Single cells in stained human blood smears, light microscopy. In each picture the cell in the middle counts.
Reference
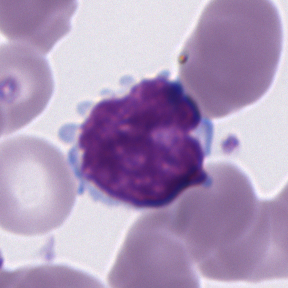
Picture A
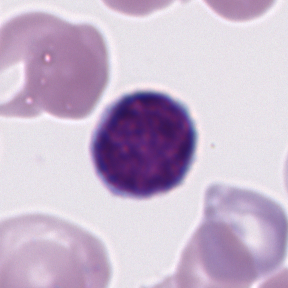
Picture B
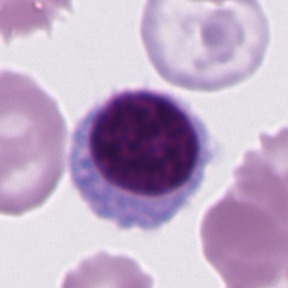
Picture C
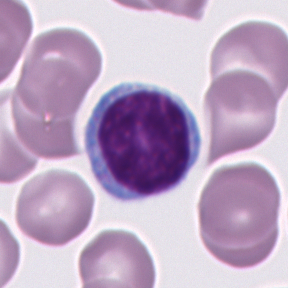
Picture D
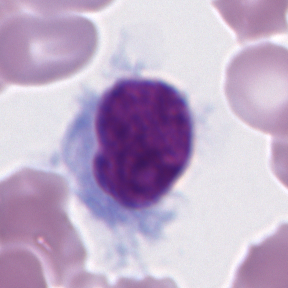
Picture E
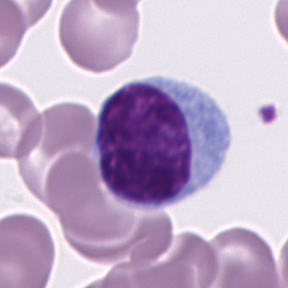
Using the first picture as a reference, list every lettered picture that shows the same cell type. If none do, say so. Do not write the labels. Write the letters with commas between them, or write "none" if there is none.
A, C, E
